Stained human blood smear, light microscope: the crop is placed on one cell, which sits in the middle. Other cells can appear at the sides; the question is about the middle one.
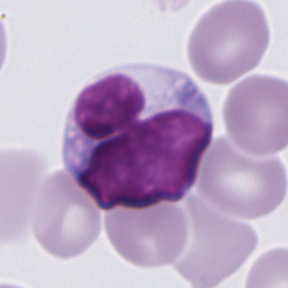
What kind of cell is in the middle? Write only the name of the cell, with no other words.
large granular lymphocyte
